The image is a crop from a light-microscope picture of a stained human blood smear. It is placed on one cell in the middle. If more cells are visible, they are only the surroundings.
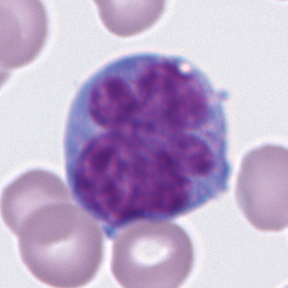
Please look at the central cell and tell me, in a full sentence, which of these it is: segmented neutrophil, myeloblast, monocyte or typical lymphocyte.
The cell of interest, in the center, is a myeloblast.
